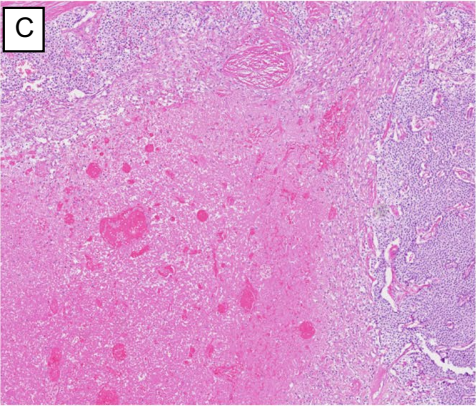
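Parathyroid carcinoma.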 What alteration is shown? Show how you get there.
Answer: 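Geographic (coagulative) necrosis. A large pink, nearly anuclear area fills most of the panel.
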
